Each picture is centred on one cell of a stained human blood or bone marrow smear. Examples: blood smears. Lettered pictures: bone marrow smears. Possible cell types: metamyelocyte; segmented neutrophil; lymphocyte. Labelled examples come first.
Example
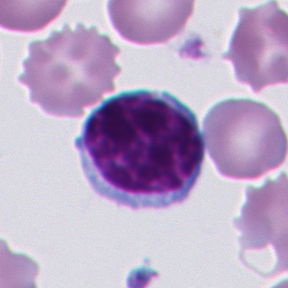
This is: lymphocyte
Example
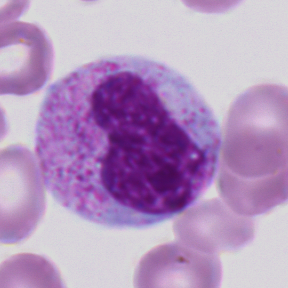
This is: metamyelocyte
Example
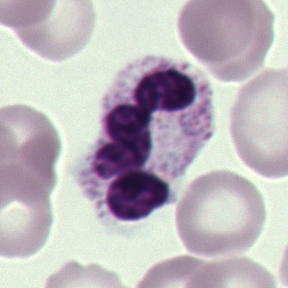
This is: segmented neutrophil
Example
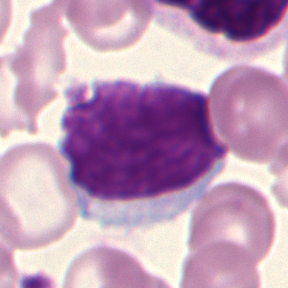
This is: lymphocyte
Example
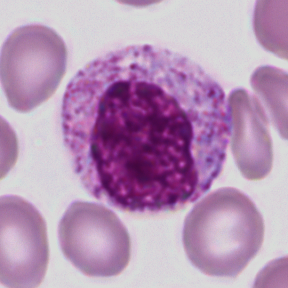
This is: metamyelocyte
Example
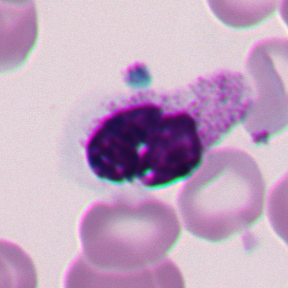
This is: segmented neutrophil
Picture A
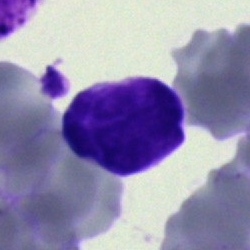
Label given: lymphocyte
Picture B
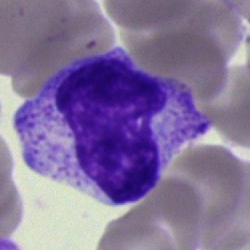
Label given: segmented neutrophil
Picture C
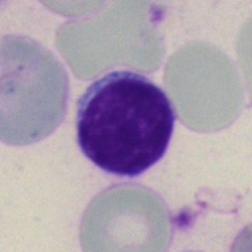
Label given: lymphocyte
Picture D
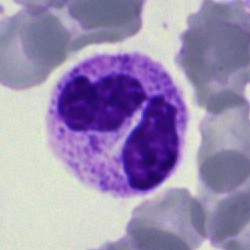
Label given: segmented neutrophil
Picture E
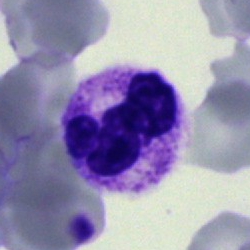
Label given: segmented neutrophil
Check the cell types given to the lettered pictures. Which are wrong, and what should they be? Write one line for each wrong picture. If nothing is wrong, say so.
B should be metamyelocyte, not segmented neutrophil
